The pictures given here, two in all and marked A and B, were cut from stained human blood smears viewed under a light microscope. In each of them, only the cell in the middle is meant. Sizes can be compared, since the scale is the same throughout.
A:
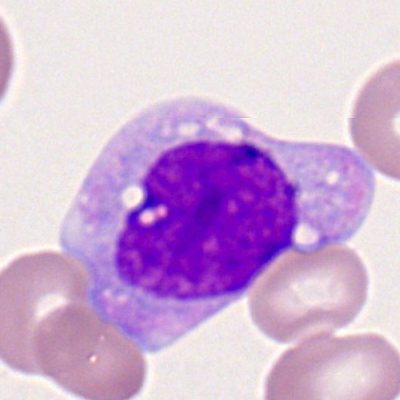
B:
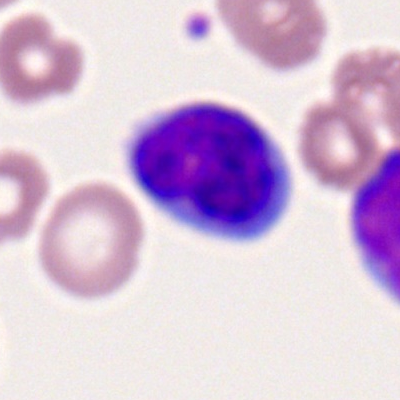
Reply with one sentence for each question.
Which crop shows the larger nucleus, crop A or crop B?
Larger is the nucleus in crop A, at roughly 2 times the area of the other.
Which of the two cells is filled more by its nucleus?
In crop B the nucleus takes up the larger part of its cell.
